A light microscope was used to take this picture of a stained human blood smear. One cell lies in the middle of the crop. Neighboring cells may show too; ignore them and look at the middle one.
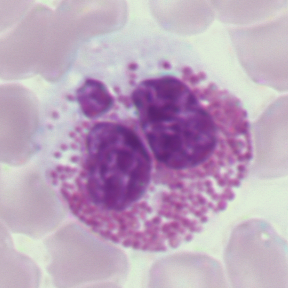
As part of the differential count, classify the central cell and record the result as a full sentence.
In the middle of this smear crop is an eosinophil.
